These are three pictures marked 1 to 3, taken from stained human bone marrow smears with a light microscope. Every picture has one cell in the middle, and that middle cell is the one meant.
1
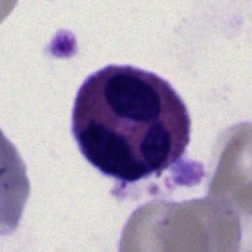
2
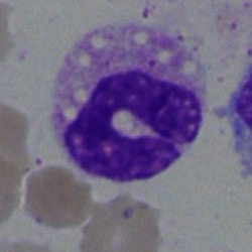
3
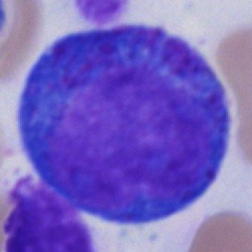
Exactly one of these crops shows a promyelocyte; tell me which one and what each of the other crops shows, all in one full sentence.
Crop 3 is to be called a promyelocyte, while crop 1 is an eosinophil and crop 2 is a band neutrophil.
